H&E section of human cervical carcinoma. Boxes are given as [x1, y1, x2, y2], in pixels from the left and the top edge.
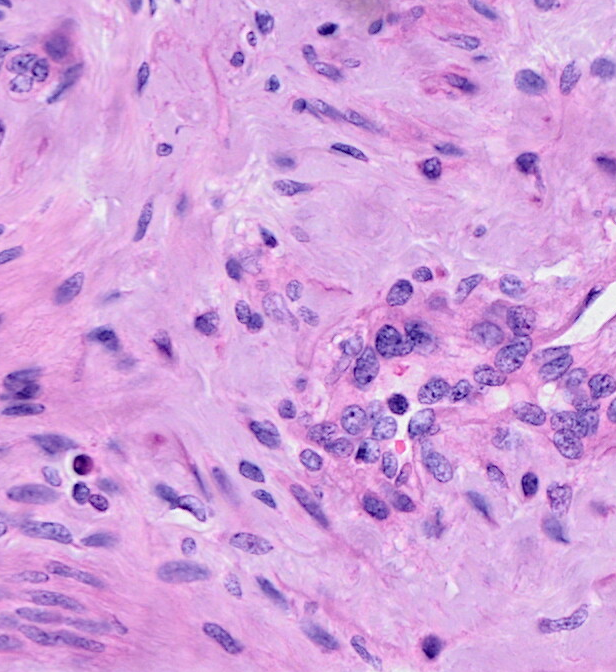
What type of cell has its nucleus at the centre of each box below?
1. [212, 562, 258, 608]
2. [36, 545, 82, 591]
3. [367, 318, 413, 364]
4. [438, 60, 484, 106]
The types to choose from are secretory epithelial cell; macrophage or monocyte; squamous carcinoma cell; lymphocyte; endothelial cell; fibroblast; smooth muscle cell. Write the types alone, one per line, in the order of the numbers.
fibroblast
smooth muscle cell
endothelial cell
smooth muscle cell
